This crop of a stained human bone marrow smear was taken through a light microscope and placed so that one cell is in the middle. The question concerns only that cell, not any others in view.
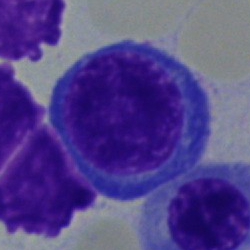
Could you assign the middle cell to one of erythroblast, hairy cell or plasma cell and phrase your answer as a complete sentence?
Looking at the middle of the crop, the cell there is an erythroblast.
